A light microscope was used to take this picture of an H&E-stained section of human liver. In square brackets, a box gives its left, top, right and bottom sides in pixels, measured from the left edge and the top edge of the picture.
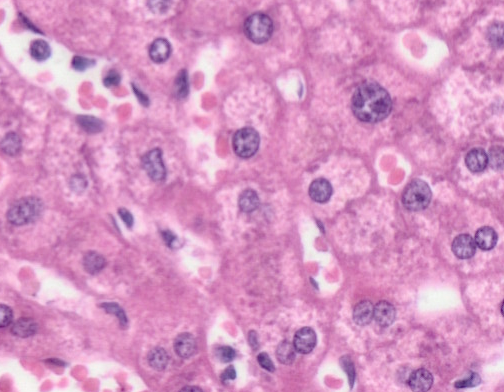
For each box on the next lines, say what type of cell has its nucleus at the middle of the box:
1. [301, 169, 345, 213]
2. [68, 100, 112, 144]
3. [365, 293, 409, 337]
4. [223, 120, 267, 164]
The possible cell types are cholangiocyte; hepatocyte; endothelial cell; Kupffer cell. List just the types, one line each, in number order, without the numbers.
hepatocyte
endothelial cell
hepatocyte
hepatocyte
